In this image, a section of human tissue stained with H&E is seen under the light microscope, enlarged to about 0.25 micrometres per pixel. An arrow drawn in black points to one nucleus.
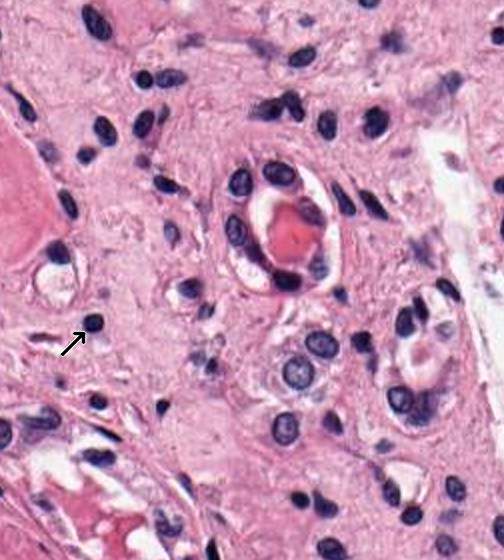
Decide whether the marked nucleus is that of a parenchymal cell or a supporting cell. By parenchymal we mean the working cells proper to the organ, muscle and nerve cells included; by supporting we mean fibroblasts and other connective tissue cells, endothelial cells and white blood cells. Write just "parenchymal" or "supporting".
supporting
